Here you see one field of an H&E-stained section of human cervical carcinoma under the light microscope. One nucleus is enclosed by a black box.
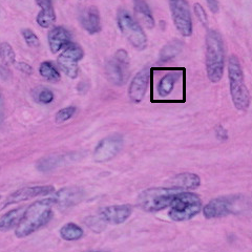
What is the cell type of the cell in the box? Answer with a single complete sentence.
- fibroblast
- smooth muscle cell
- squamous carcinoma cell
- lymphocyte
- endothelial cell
The category to which the cell in the box belongs is that of a smooth muscle cell.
